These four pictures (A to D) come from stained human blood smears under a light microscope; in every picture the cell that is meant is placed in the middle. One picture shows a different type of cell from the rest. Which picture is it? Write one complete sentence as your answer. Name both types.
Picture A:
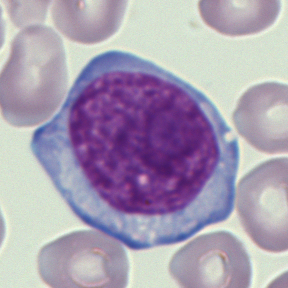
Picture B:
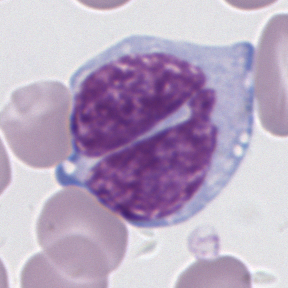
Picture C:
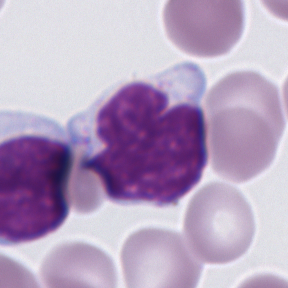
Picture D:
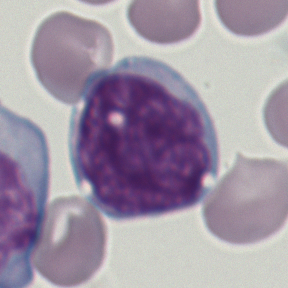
All pictures except C show myeloblasts; picture C shows a large granular lymphocyte.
